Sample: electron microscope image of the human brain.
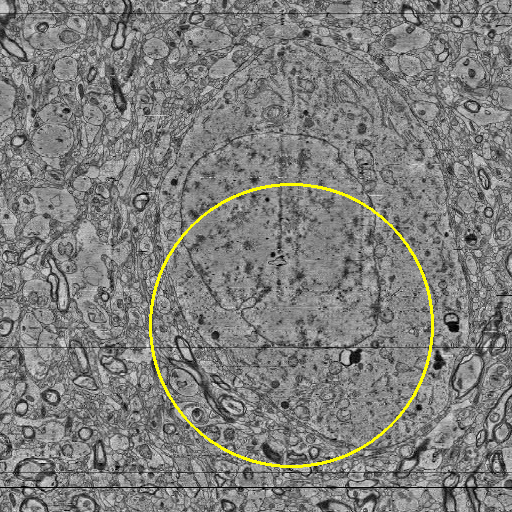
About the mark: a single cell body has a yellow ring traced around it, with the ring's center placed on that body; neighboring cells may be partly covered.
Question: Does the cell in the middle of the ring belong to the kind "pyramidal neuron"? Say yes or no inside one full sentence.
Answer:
Yes, the cell at the ring's center in this image belongs to that kind.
